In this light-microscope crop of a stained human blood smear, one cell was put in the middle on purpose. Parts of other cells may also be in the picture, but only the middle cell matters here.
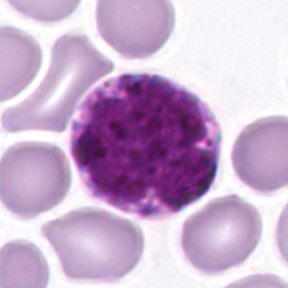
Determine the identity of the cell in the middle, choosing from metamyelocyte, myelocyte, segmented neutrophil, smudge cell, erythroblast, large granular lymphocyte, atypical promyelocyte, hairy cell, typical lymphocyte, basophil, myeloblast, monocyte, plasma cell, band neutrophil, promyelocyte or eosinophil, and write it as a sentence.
What the crop centres on is a basophil.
